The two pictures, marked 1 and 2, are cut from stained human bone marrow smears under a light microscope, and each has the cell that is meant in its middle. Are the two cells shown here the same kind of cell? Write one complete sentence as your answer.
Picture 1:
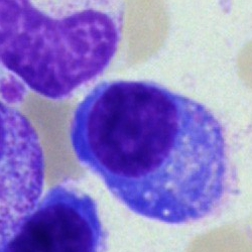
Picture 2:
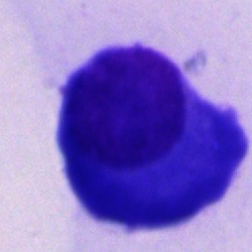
Yes, the two pictures both show plasma cells.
